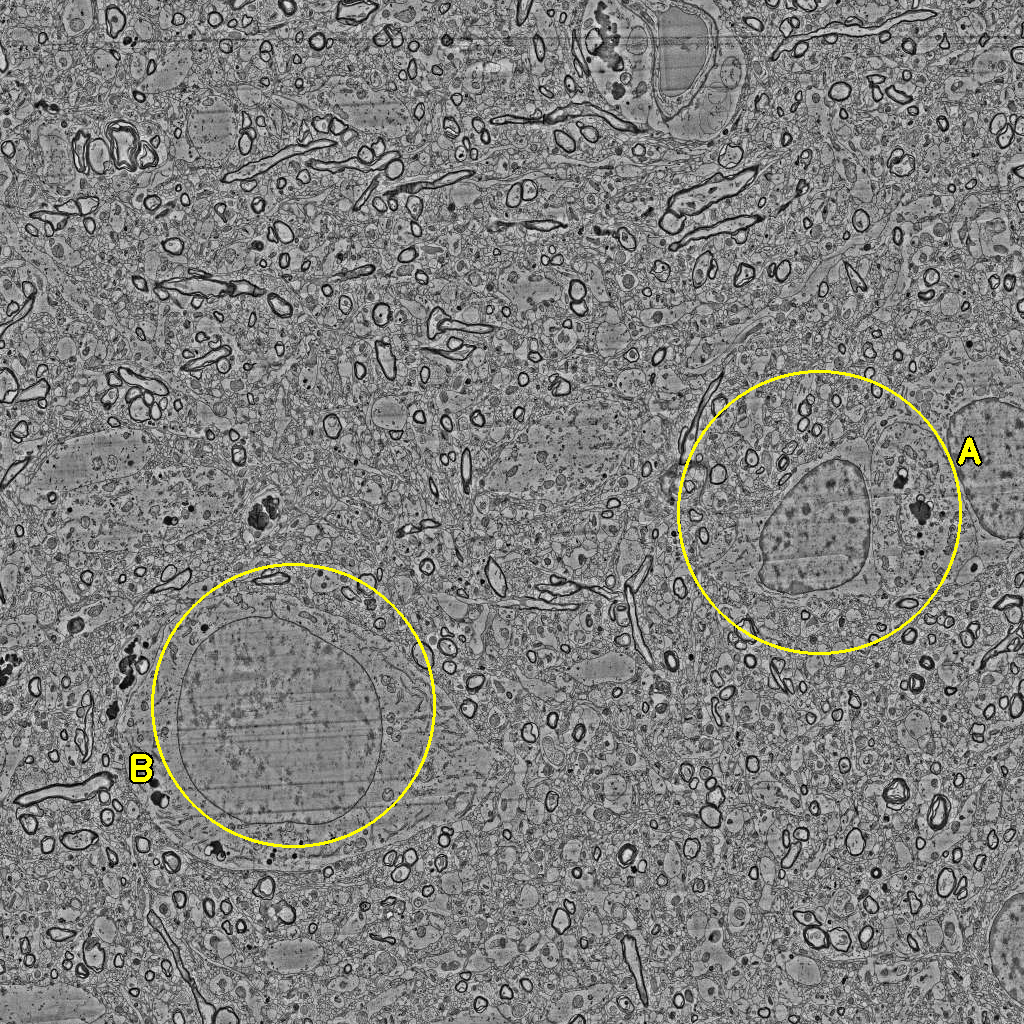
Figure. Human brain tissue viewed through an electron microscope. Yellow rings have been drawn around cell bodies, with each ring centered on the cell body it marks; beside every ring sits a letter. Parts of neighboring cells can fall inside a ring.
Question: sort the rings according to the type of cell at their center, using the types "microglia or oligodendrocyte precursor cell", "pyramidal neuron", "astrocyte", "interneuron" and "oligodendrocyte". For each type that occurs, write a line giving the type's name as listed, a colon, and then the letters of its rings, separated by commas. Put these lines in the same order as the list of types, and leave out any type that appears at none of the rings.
microglia or oligodendrocyte precursor cell: A
pyramidal neuron: B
